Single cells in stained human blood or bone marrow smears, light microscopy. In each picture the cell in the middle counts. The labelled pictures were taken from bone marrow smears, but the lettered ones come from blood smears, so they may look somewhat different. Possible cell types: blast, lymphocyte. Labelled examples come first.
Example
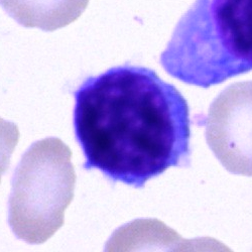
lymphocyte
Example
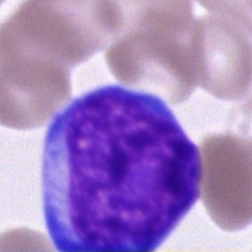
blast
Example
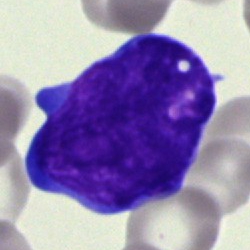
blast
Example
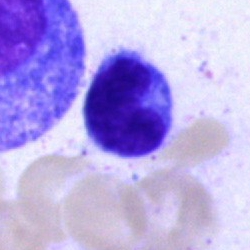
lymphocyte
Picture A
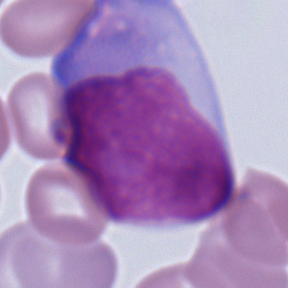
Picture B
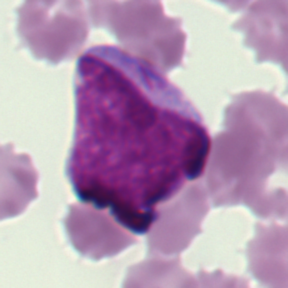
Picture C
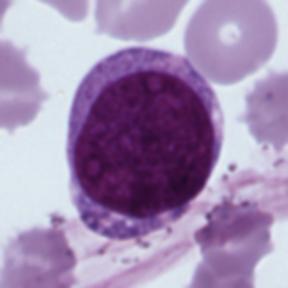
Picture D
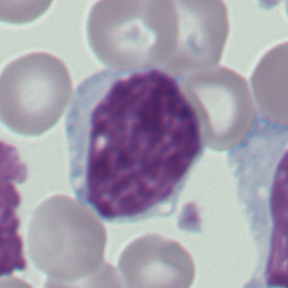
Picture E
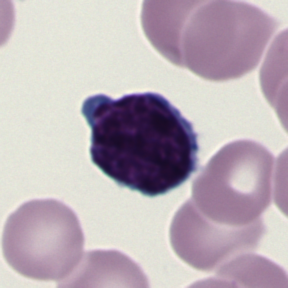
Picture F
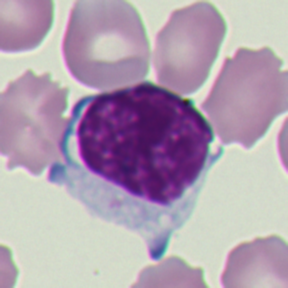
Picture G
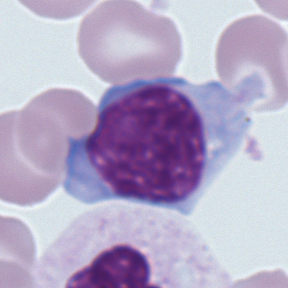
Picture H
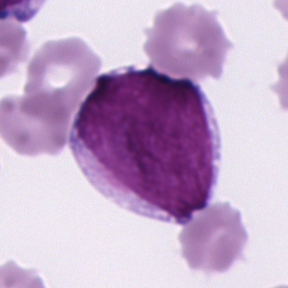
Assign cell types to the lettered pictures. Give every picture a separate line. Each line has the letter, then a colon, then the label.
A: blast
B: blast
C: blast
D: lymphocyte
E: lymphocyte
F: lymphocyte
G: lymphocyte
H: blast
